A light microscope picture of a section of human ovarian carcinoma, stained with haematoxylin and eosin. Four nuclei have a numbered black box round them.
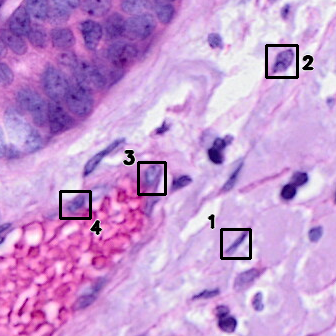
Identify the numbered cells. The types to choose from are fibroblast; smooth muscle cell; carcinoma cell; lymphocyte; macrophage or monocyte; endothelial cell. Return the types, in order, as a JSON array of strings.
["fibroblast", "macrophage or monocyte", "endothelial cell", "endothelial cell"]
